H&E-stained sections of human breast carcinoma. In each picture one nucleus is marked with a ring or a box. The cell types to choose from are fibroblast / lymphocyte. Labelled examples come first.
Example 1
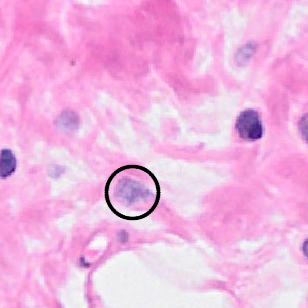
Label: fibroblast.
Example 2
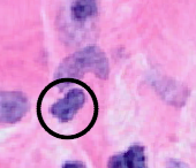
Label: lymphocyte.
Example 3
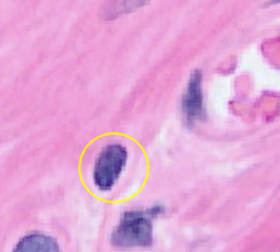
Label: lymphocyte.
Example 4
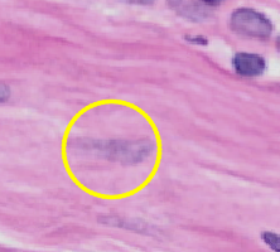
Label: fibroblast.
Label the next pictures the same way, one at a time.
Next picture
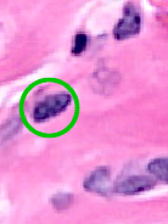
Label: lymphocyte.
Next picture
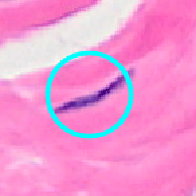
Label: fibroblast.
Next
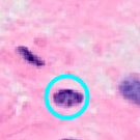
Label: lymphocyte.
